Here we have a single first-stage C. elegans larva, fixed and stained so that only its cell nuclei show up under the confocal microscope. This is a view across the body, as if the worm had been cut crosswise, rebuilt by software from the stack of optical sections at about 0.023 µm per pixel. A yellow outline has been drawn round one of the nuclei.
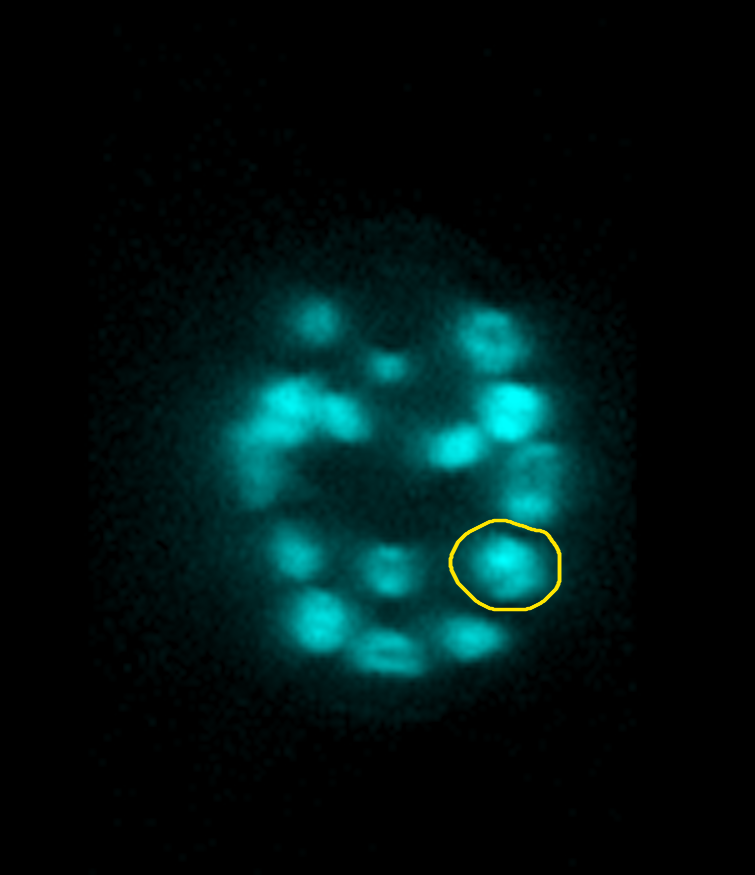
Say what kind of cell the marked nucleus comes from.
glial cell (sheath or socket)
